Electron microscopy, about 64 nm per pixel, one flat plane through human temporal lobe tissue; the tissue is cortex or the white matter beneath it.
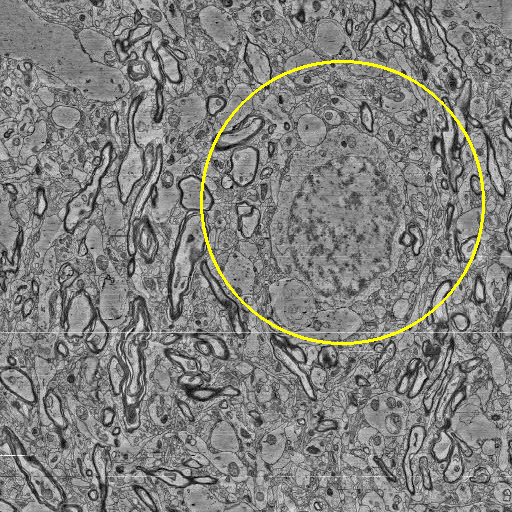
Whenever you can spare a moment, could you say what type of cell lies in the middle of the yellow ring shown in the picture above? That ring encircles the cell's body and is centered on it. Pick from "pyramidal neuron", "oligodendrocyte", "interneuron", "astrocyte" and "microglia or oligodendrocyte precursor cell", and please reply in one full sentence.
The cell whose body sits at the middle of the yellow ring is an interneuron.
